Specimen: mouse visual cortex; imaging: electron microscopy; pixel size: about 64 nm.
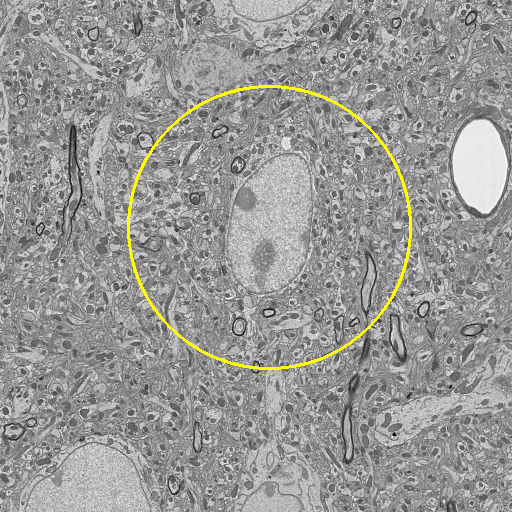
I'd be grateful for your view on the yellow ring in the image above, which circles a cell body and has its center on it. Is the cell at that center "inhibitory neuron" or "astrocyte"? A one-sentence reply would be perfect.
The cell at the center of the yellow ring is an astrocyte.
